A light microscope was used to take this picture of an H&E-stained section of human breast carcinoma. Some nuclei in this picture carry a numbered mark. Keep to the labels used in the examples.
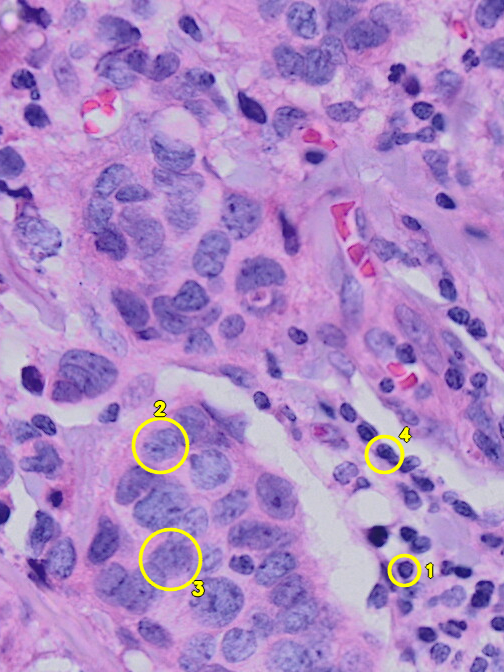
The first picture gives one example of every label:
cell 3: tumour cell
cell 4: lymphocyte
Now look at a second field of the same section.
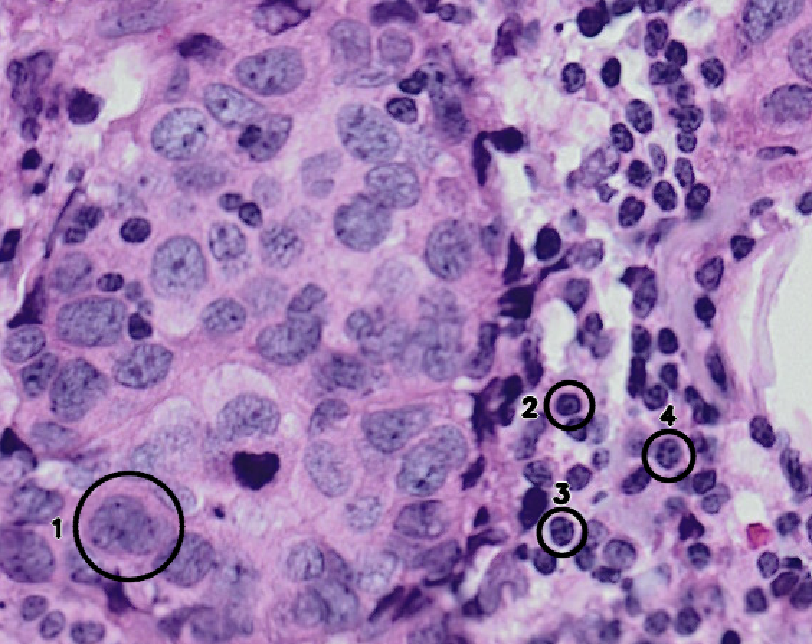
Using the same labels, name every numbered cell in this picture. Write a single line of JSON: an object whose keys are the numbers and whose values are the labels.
{"1": "tumour cell", "2": "lymphocyte", "3": "lymphocyte", "4": "lymphocyte"}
